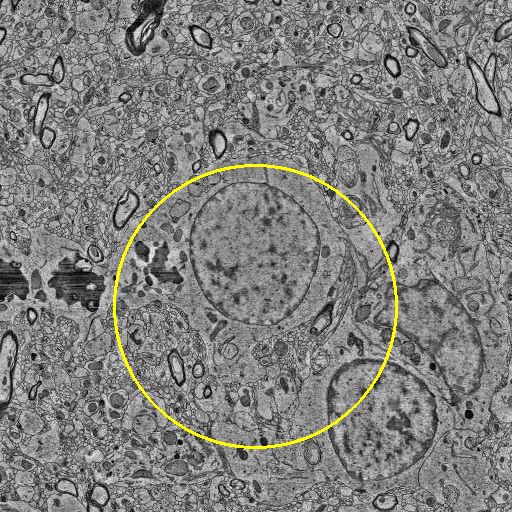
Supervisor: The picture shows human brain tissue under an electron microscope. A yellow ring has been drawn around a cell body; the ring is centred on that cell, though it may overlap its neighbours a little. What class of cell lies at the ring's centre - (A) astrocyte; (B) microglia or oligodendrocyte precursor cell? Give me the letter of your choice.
A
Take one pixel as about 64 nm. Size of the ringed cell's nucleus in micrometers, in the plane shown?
The ringed cell's nucleus is about 10 micrometres long and 8 micrometres wide in this plane.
